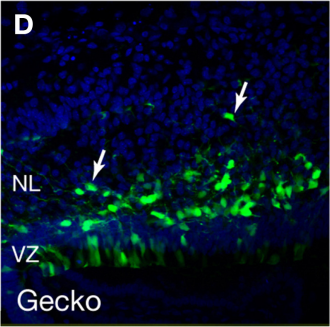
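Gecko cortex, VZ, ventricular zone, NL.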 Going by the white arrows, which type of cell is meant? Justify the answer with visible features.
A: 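The marked green cells lie above the dense zone of radial green cells next to the ventricle. The marked cells are scattered within the outer layer of nuclei.
Answer: migrating neurons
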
